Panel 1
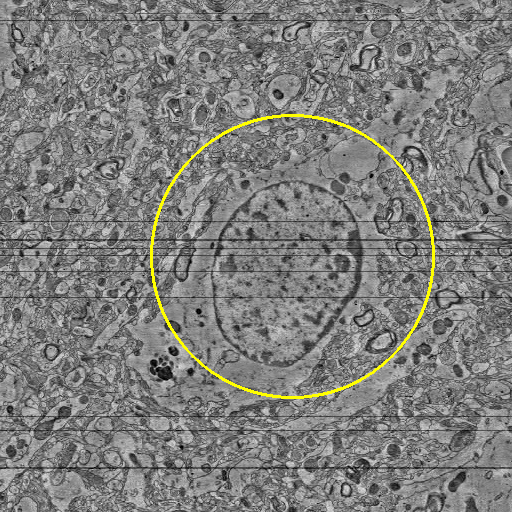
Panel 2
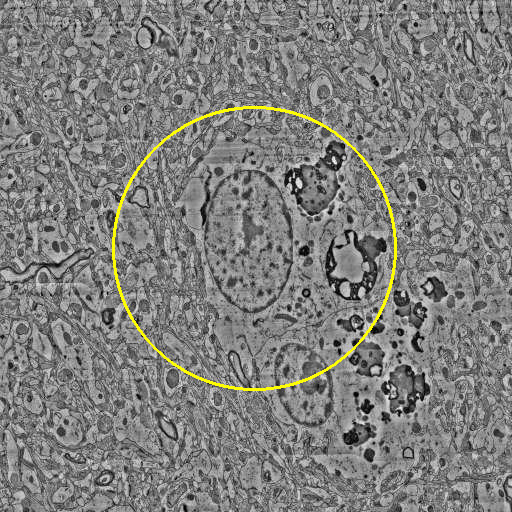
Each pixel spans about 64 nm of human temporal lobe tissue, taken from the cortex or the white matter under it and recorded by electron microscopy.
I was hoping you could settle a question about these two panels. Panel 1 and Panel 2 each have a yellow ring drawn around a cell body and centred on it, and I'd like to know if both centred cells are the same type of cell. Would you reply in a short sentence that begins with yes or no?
Yes, both are the same type of cell.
